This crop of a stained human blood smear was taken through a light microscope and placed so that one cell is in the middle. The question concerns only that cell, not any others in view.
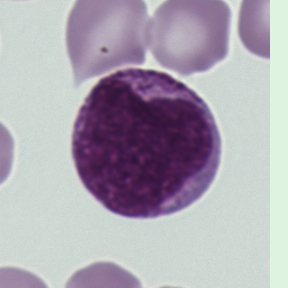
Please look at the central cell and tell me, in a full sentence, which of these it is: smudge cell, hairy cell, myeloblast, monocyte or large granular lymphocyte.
At the crop's centre, the cell is a myeloblast.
